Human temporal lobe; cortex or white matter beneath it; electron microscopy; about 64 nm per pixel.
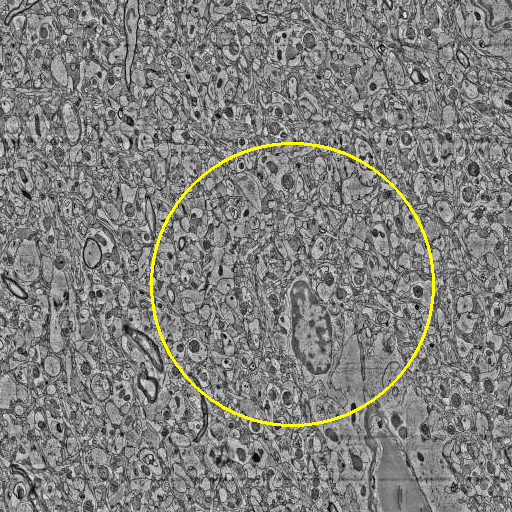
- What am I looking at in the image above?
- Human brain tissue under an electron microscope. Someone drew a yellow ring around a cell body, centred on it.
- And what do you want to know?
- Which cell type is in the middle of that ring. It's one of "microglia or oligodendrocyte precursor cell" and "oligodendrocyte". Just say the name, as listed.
microglia or oligodendrocyte precursor cell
